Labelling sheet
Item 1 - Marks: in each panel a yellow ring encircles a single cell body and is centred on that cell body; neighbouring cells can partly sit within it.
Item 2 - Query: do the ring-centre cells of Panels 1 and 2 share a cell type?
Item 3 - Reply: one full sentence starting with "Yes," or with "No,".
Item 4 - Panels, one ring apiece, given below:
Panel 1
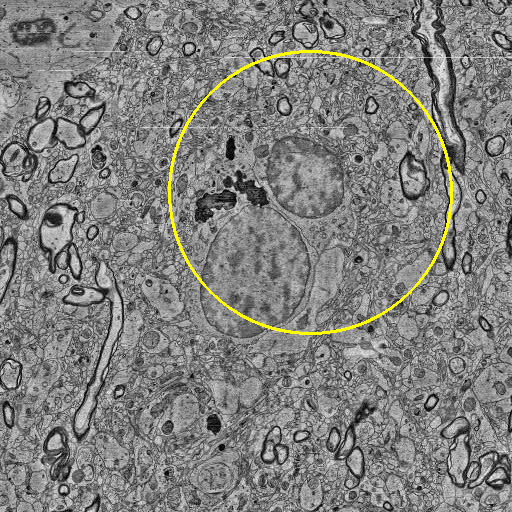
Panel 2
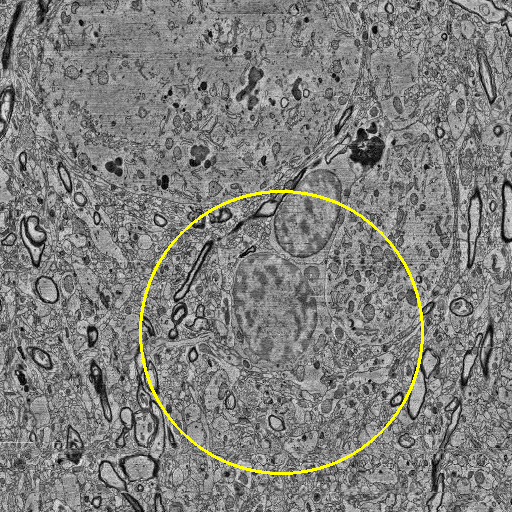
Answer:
Yes, Panel 1 and Panel 2 show one cell type at the centres of their rings.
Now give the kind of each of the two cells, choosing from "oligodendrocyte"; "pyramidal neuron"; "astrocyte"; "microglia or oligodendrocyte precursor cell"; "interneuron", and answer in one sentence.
Both pictures show an oligodendrocyte at the centre of the ring.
